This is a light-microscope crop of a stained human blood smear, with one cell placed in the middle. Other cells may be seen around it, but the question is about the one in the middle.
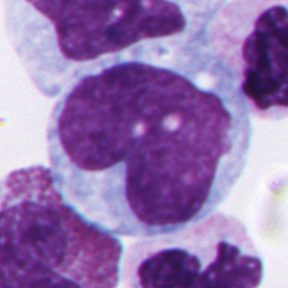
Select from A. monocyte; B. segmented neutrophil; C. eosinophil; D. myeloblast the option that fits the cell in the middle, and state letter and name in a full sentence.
The central cell in this crop is a monocyte, corresponding to option A, the correct option.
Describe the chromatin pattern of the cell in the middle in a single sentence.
The chromatin is fine throughout, without coarse clumps.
